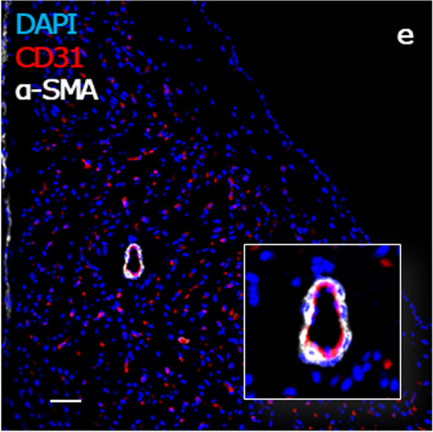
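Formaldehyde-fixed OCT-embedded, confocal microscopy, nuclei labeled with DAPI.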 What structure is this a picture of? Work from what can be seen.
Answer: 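Arterioles. Its wall has an inner red lining and an outer white ring with nuclei.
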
